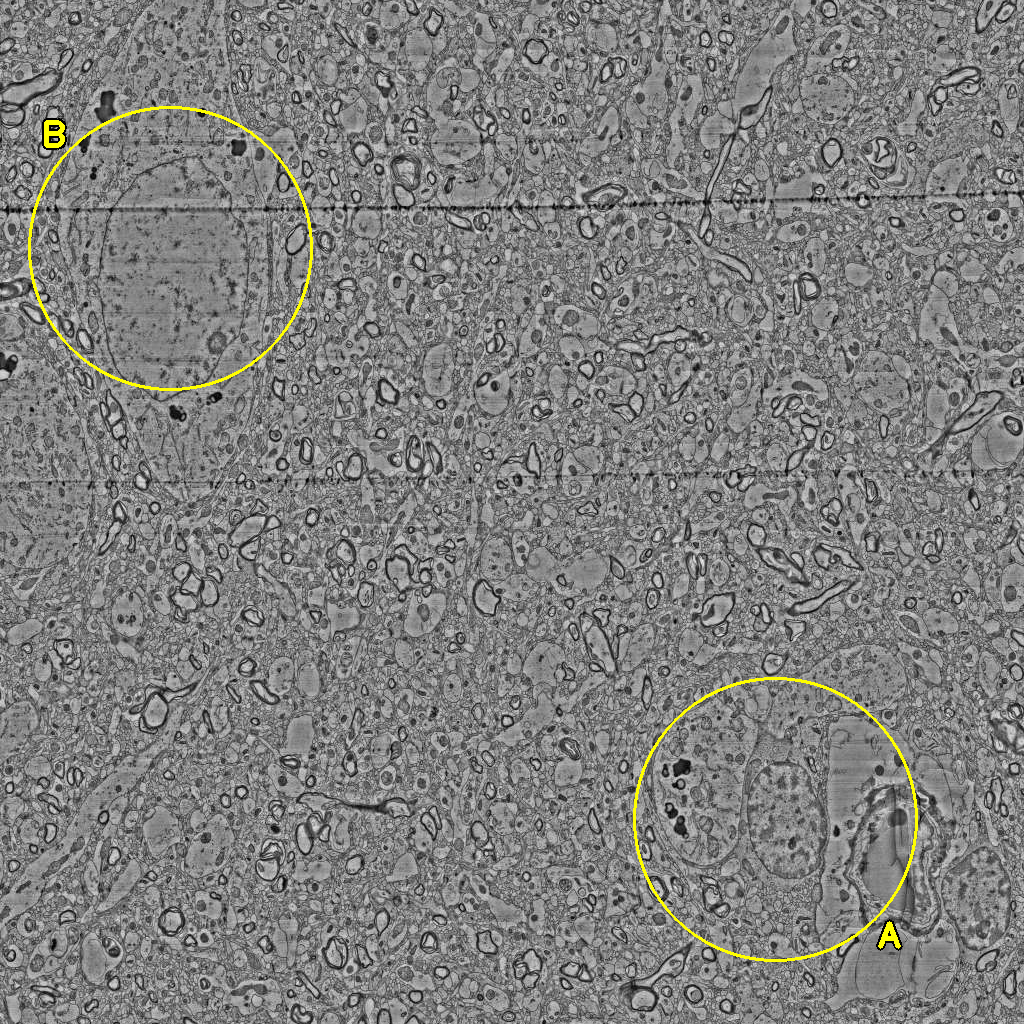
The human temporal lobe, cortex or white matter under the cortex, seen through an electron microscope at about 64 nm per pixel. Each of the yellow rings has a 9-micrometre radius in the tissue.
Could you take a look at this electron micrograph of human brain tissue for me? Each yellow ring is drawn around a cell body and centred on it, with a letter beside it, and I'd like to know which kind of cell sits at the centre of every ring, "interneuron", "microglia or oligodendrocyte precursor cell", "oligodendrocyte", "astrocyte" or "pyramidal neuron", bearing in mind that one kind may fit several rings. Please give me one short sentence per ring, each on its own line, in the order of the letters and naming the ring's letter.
Ring A is centred on an oligodendrocyte.
Ring B is centred on a pyramidal neuron.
